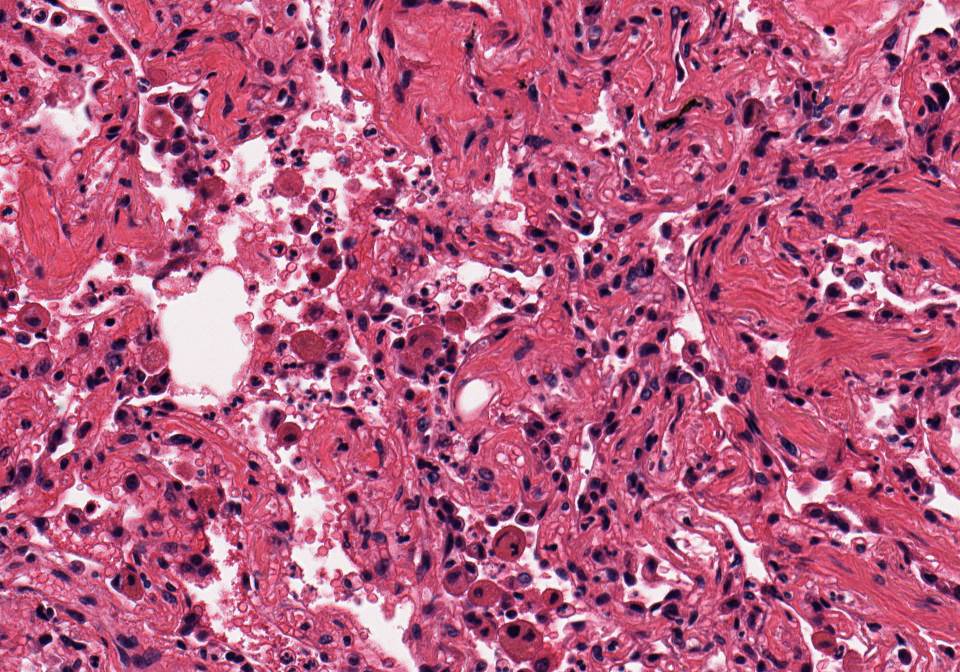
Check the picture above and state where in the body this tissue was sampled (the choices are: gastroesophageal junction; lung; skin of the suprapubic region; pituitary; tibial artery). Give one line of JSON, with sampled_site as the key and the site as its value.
{"sampled_site": "lung"}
